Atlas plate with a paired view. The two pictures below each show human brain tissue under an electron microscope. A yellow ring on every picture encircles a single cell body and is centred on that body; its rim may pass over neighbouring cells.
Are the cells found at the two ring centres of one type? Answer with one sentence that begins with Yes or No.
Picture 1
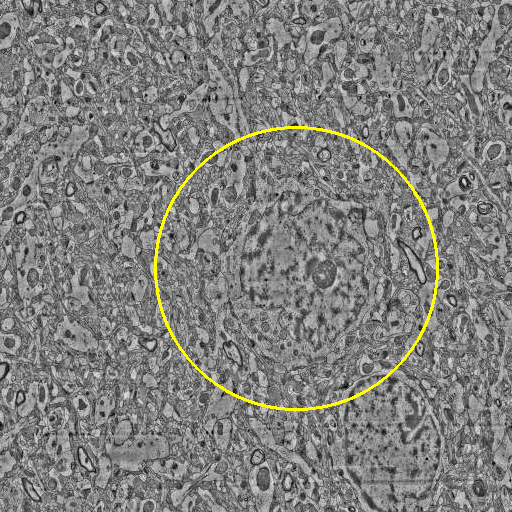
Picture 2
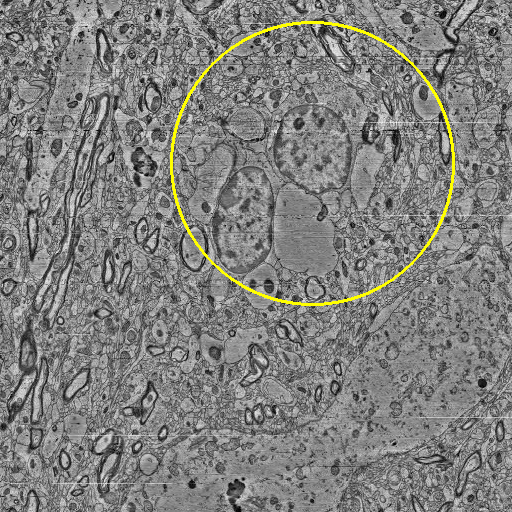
No, the two cells lying at the centres of the rings are of two types.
